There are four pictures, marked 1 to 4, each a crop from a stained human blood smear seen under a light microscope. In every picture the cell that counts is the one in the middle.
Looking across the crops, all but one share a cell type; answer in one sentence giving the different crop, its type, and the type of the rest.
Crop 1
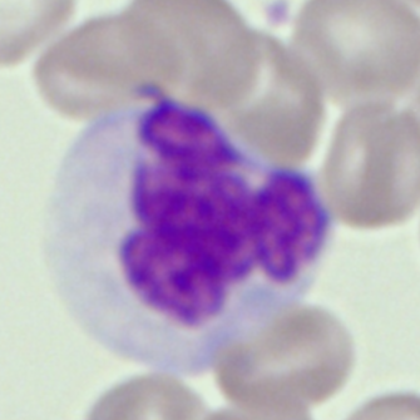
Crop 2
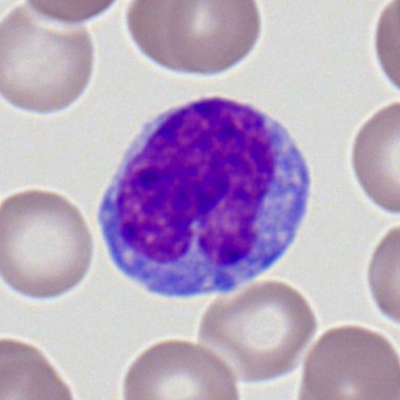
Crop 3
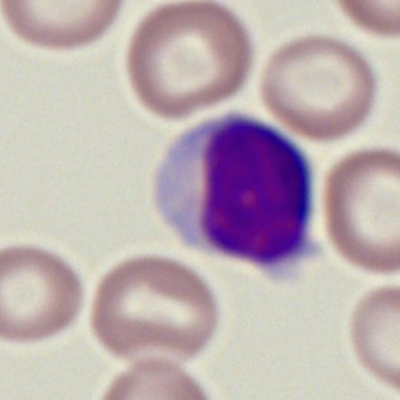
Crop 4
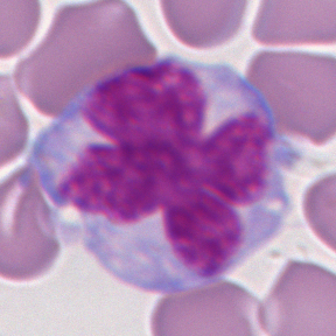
Crop 3 is the one that is a lymphocyte, and the other crops all show monocytes.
